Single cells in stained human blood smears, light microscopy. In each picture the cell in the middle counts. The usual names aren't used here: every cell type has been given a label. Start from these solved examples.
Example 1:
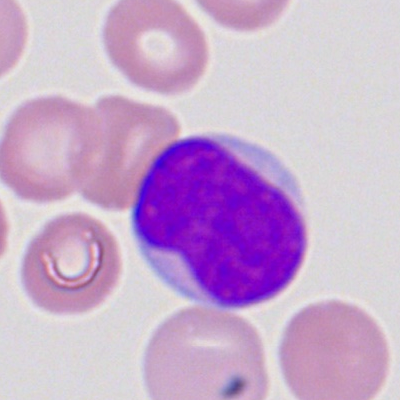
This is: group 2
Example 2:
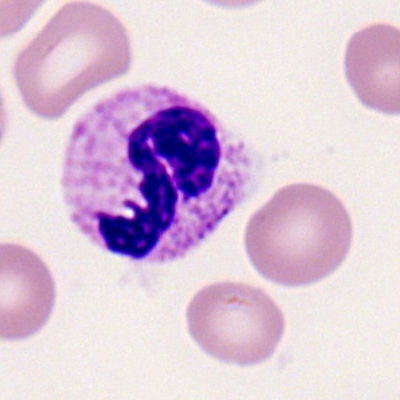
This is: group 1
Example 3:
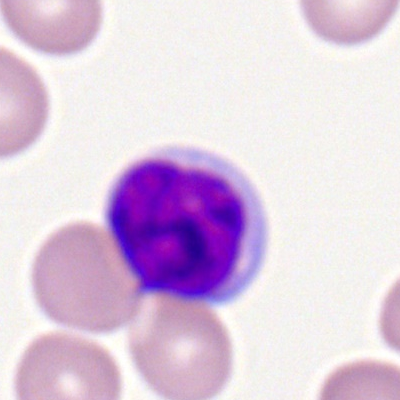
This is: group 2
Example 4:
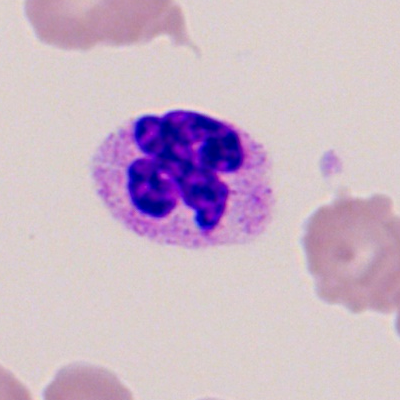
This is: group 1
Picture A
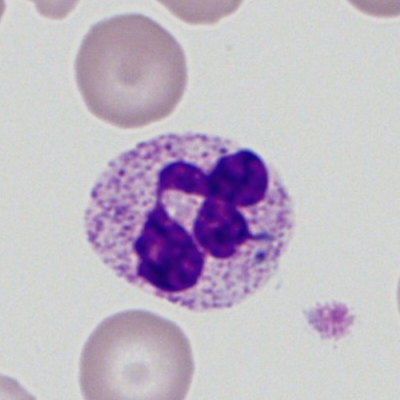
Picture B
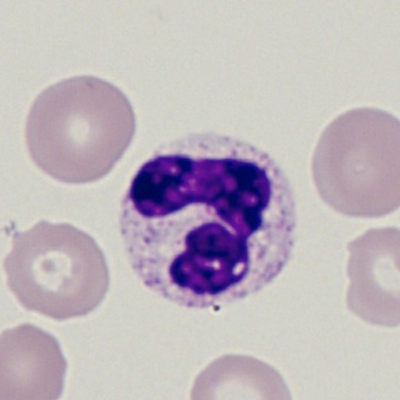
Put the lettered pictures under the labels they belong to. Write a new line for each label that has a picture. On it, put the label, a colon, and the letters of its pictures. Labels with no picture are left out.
group 1: A, B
